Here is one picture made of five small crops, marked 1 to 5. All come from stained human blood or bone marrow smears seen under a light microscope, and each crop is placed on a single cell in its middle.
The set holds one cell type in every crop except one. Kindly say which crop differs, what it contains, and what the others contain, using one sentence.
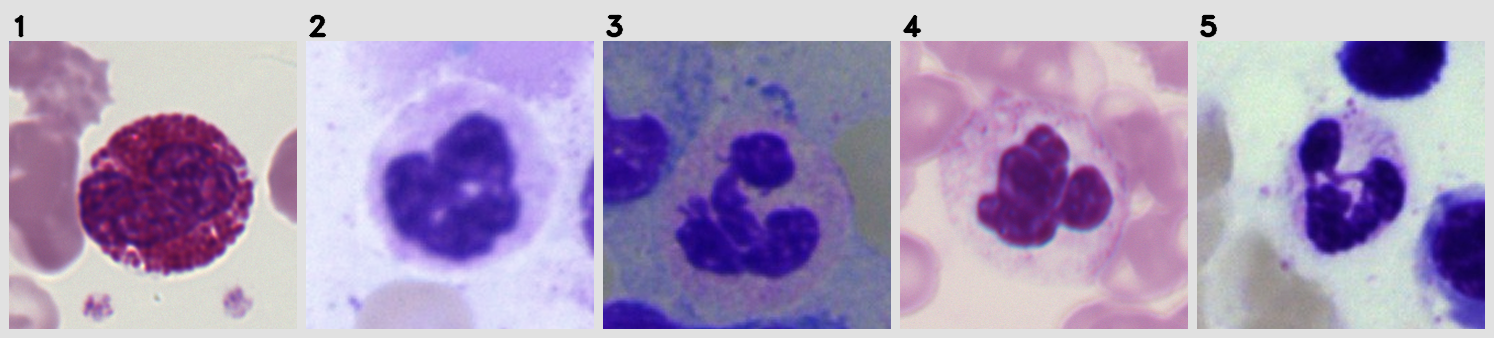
The odd one out is crop 1, an eosinophil, and all other crops show neutrophils.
